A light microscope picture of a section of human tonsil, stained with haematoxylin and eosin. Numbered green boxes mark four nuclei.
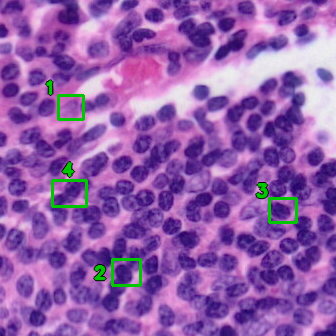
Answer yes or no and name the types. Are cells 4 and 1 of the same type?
No, the cell bearing number 4 is a small lymphocyte, while the one bearing number 1 is an endothelial cell.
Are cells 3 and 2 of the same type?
Yes, cells 3 and 2 are alike in being small lymphocytes.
